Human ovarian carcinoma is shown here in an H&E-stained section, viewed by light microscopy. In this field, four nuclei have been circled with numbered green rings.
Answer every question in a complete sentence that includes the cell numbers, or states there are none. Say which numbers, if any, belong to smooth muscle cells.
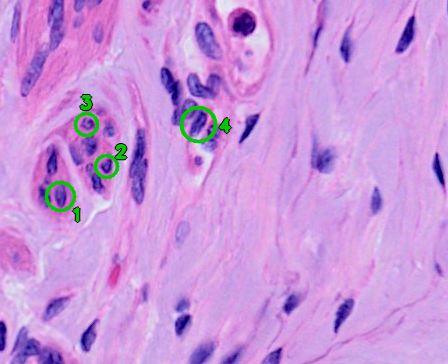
The cells with labels 1, 2 and 3 are smooth muscle cells.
